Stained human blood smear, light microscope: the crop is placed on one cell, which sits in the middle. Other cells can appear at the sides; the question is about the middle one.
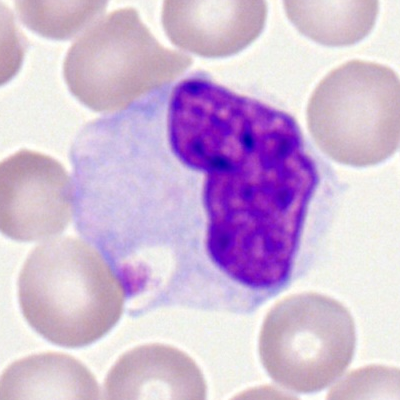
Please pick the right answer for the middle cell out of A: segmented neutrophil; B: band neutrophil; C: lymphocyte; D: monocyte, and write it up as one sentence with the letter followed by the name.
Here the central cell is a monocyte, and option D is correct.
